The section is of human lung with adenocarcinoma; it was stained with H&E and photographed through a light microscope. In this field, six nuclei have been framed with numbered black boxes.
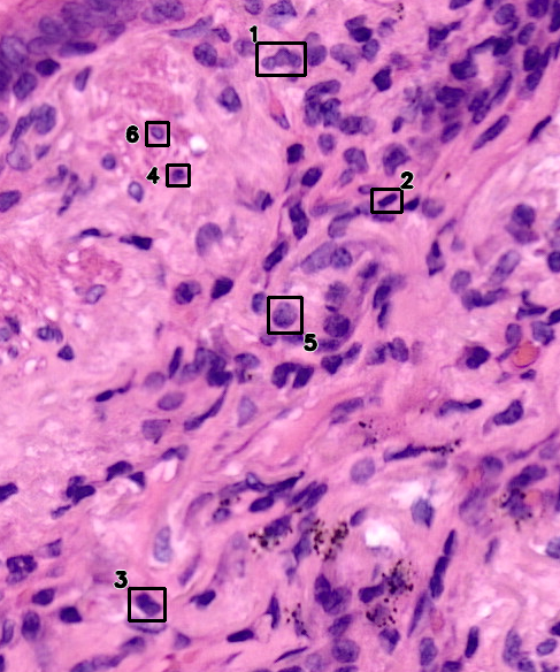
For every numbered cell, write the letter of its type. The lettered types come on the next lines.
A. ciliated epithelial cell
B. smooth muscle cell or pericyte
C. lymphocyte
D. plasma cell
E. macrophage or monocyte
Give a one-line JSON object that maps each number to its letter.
{"1": "C", "2": "C", "3": "C", "4": "B", "5": "C", "6": "B"}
